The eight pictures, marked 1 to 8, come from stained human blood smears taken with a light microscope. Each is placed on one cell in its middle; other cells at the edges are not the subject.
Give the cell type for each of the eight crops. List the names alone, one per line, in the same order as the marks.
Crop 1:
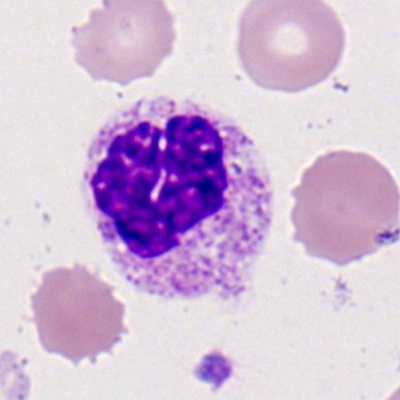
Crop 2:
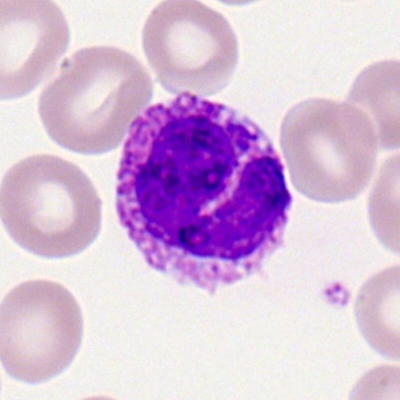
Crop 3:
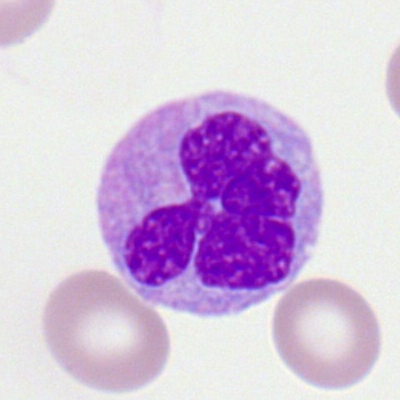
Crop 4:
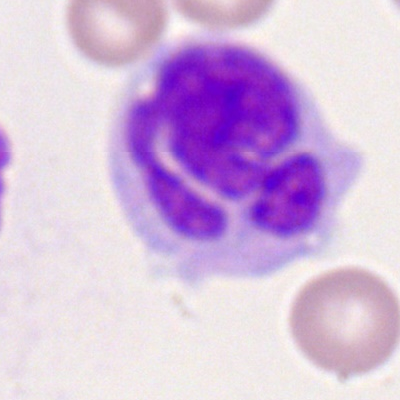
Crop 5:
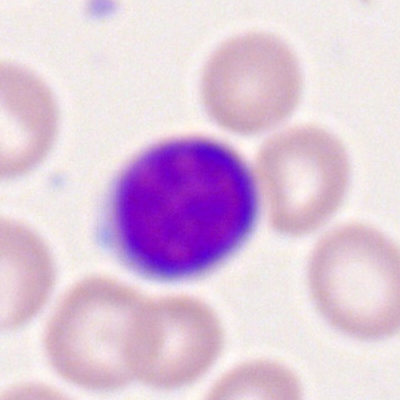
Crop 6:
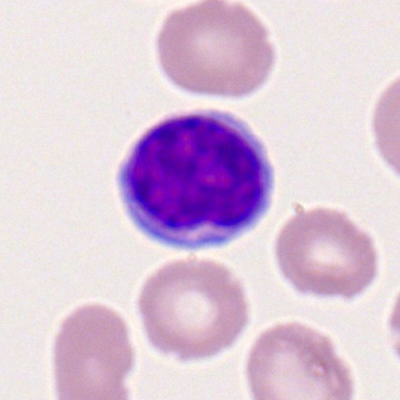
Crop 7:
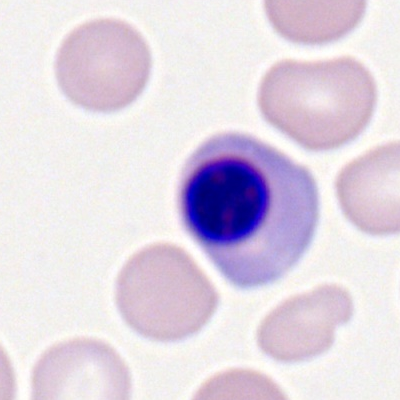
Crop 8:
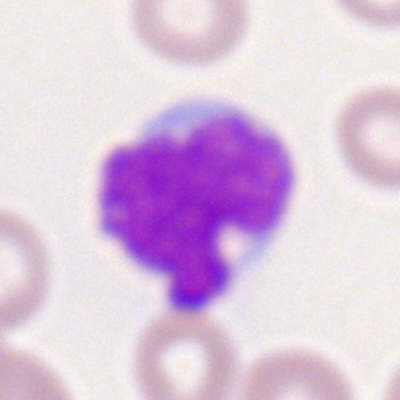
band neutrophil
basophil
monocyte
monocyte
lymphocyte
lymphocyte
normoblast
myeloblast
